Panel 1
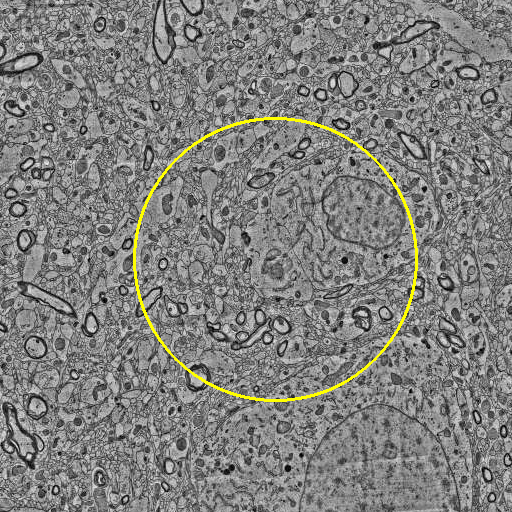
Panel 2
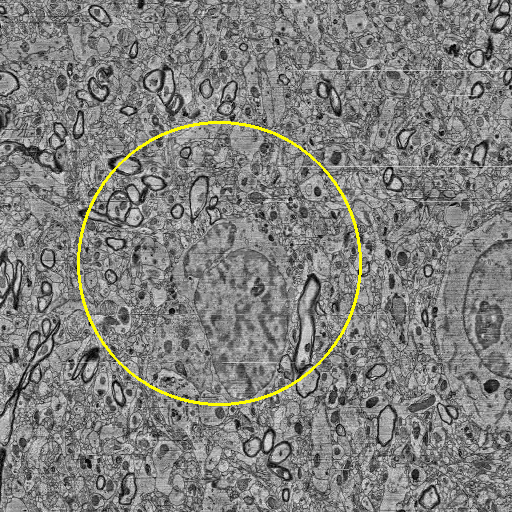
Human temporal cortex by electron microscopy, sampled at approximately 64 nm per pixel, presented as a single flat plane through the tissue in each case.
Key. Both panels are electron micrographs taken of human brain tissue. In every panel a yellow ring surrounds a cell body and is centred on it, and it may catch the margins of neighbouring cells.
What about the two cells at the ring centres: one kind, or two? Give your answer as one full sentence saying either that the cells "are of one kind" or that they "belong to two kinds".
Across Panels 1 and 2, the two cells at the ring centres belong to two kinds.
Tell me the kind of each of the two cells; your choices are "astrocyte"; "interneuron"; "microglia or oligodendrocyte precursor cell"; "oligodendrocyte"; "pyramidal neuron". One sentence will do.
The ringed cell is a microglial cell or oligodendrocyte precursor cell in the first picture and an oligodendrocyte in the second picture.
